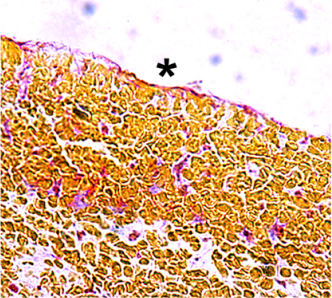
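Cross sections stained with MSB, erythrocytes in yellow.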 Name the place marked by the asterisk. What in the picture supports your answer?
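The asterisk sits at the edge where the stained clot meets the pale, unstained background. The answer: air-liquid interface.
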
